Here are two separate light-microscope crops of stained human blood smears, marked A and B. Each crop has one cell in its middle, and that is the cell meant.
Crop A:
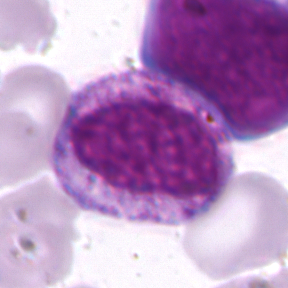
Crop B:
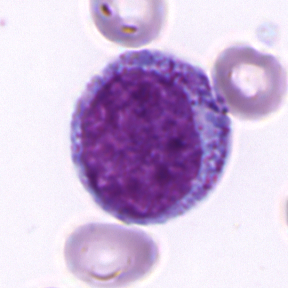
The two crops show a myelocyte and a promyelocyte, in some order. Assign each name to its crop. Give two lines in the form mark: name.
A: myelocyte
B: promyelocyte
